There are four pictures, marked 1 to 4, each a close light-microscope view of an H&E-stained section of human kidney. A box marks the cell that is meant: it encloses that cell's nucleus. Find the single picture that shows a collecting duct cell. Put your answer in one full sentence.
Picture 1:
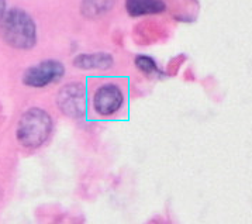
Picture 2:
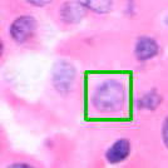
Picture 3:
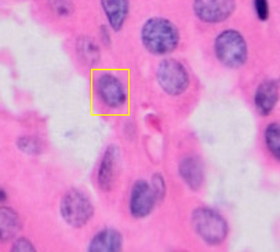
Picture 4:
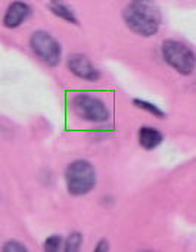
Picture 4 is the one that shows the collecting duct cell.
